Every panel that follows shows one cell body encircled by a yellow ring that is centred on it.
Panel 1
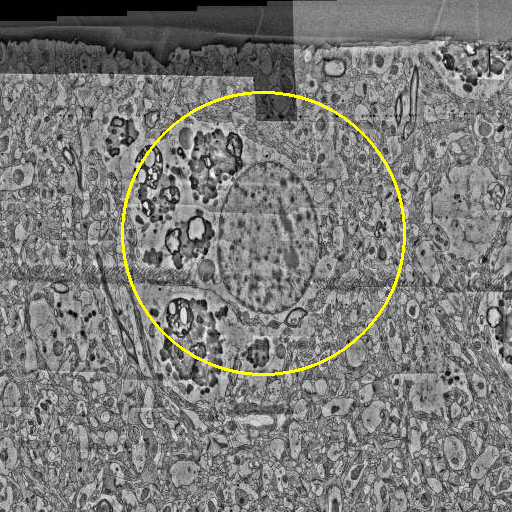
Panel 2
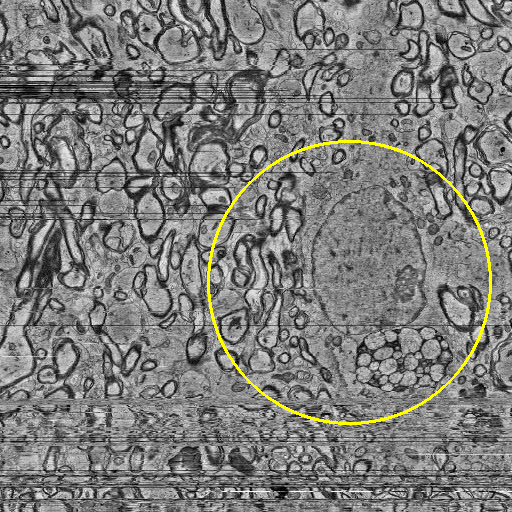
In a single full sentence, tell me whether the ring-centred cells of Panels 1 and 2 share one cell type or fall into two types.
In Panel 1 and Panel 2, the cells at the ring centres share one cell type.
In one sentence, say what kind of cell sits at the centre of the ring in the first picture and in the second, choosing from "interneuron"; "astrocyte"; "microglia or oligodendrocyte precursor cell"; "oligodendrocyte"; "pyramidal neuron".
Each of the two rings is centred on an astrocyte.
